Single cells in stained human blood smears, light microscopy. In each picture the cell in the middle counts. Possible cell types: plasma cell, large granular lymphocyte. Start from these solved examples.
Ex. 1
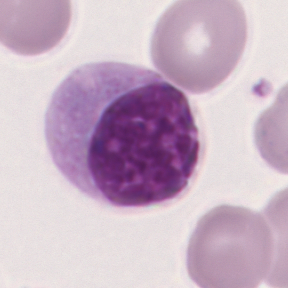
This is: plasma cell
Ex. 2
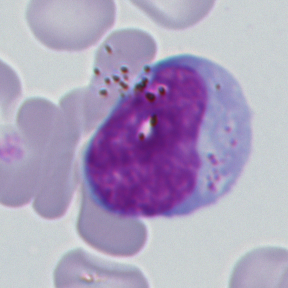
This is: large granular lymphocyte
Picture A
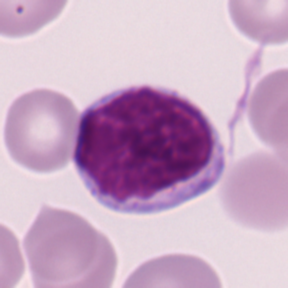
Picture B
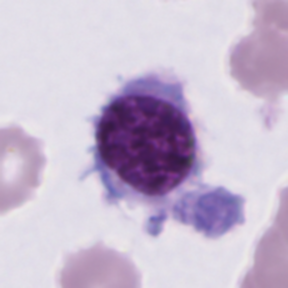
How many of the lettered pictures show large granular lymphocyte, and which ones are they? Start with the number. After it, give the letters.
1, namely A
